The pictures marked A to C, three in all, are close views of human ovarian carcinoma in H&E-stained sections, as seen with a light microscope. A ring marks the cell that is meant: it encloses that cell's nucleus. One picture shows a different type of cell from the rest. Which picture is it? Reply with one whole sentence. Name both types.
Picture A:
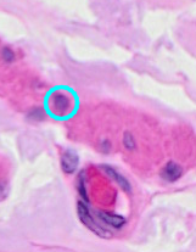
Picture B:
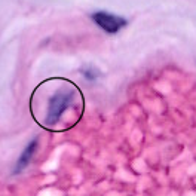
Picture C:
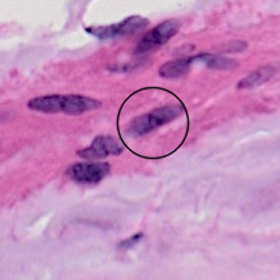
The different one is picture B; it shows an endothelial cell, whereas all the others show smooth muscle cells.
